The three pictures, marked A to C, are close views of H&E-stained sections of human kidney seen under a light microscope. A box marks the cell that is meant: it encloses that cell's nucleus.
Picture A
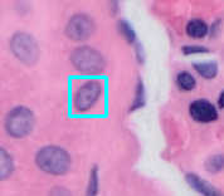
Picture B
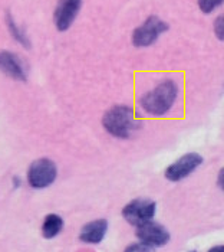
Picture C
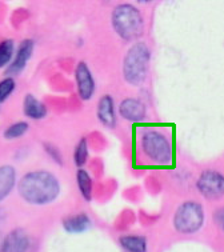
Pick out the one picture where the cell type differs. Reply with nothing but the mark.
C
